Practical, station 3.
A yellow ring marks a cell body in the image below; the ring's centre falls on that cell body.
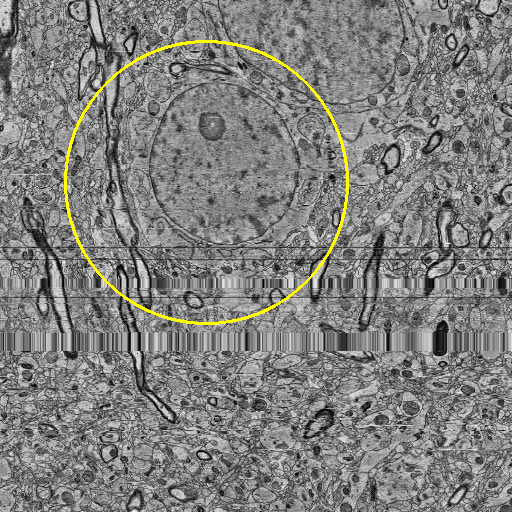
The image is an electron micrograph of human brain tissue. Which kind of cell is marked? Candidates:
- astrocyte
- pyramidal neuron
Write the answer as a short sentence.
The marked cell body is that of an astrocyte.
